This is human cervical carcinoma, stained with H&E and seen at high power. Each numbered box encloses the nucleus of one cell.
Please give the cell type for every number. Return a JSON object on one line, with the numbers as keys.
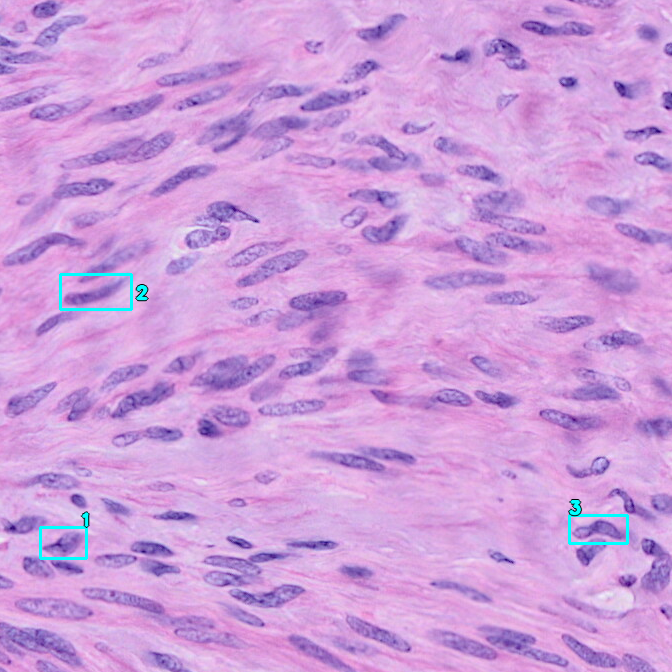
{"1": "fibroblast", "2": "smooth muscle cell", "3": "fibroblast"}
